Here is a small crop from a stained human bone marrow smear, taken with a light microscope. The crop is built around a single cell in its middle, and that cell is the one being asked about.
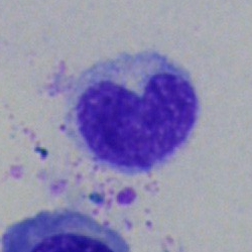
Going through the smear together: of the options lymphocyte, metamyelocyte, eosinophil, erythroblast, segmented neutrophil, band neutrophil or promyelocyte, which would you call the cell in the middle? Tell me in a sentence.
The cell that lies at the centre of the crop is a metamyelocyte.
